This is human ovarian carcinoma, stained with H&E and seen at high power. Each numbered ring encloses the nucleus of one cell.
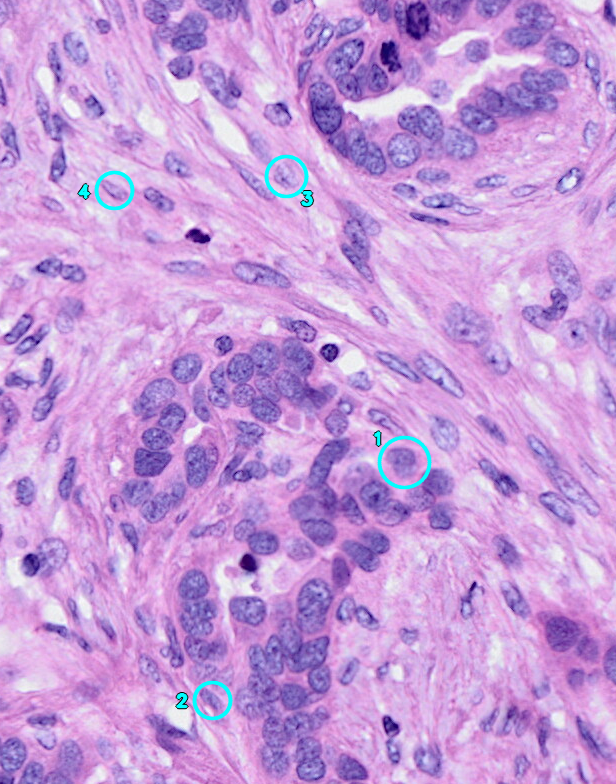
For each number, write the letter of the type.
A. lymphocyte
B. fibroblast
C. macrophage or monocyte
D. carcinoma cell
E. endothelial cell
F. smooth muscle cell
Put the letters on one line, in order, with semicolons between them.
D; B; B; B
